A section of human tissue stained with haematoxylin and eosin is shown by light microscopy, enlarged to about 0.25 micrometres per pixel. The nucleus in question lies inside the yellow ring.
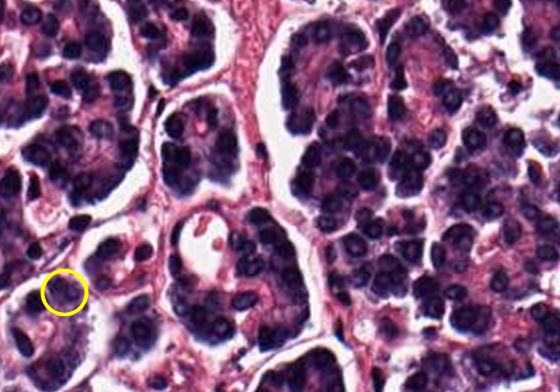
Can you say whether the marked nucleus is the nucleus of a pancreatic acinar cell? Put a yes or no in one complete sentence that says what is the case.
Yes, the nucleus singled out in the image belongs to a pancreatic acinar cell.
